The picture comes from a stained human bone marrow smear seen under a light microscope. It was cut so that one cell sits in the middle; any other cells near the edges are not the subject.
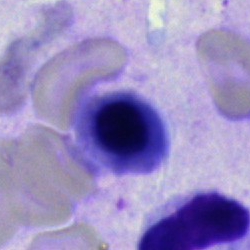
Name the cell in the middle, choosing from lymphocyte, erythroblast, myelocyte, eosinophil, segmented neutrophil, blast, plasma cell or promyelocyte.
erythroblast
